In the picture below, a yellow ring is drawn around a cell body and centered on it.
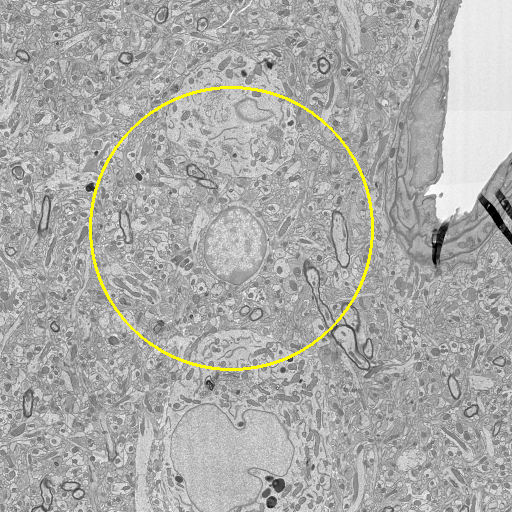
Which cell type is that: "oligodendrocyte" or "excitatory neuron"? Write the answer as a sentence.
The cell centered in the ring is an oligodendrocyte.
